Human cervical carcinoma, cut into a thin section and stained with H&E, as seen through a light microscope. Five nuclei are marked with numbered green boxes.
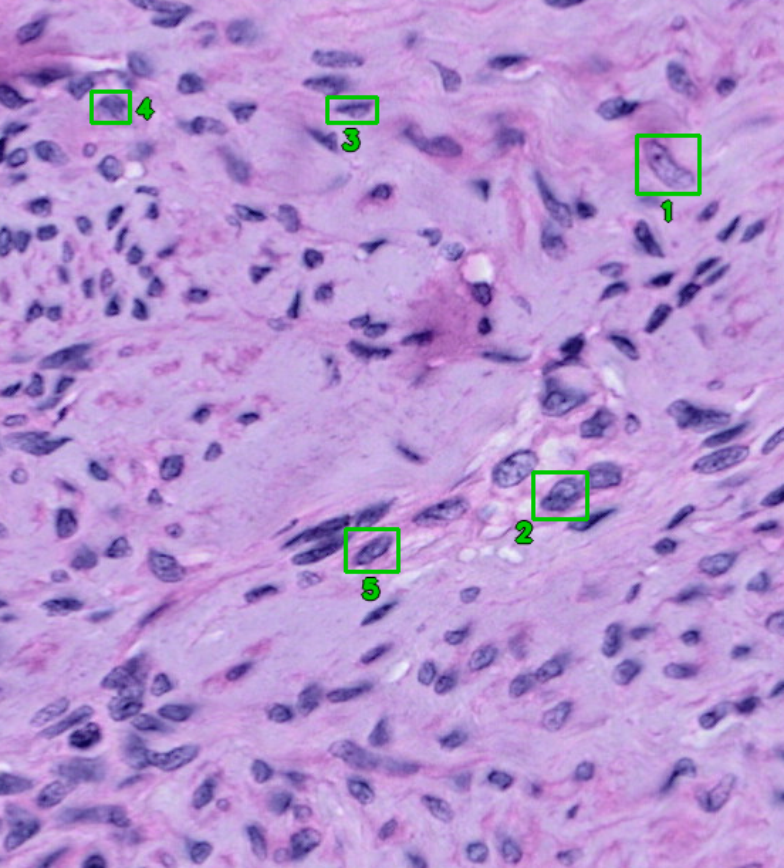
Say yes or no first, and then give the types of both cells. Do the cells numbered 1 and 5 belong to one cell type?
No, cell 5 is an endothelial cell, but cell 1 is a smooth muscle cell.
